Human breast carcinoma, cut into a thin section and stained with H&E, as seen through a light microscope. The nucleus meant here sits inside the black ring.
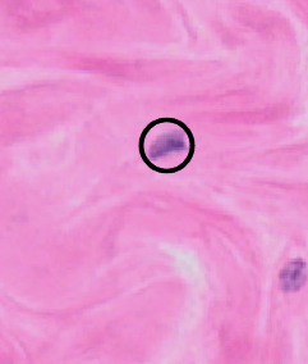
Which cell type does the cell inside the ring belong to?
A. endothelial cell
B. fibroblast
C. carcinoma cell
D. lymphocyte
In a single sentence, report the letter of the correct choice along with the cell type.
That the cell inside the ring is a fibroblast makes option B the correct choice.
